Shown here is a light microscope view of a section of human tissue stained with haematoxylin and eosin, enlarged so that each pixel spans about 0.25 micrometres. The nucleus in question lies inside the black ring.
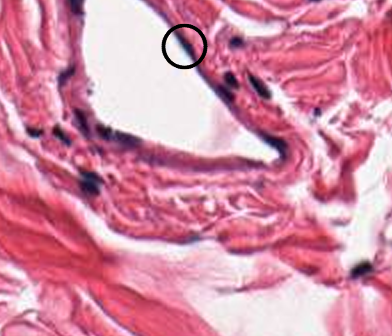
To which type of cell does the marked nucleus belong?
endothelial cell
